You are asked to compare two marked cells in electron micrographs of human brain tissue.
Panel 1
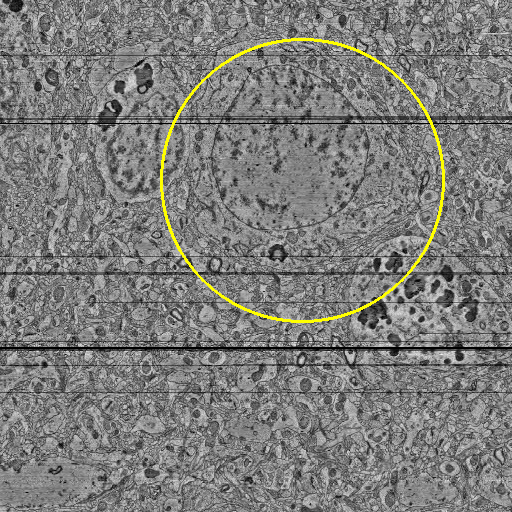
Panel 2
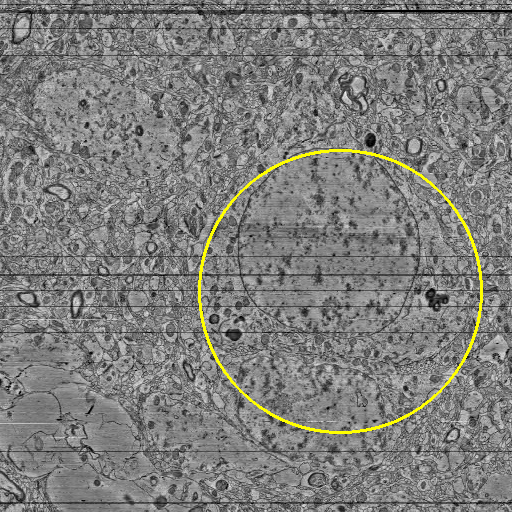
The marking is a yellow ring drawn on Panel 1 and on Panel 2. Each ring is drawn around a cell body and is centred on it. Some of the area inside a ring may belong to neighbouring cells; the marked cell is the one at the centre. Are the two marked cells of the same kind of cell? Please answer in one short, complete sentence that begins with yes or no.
Yes, the two marked cells are of the same kind.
